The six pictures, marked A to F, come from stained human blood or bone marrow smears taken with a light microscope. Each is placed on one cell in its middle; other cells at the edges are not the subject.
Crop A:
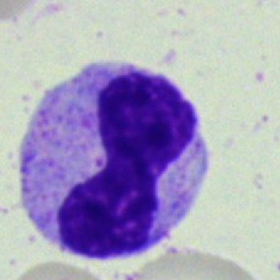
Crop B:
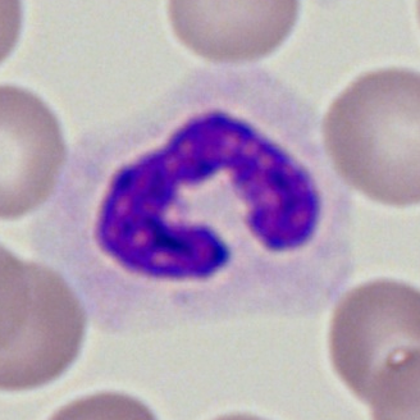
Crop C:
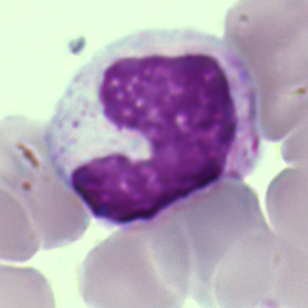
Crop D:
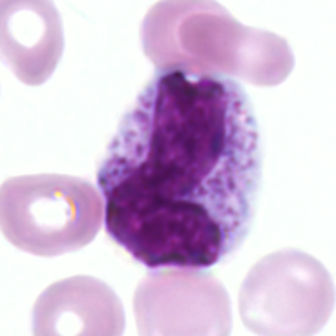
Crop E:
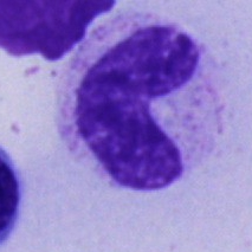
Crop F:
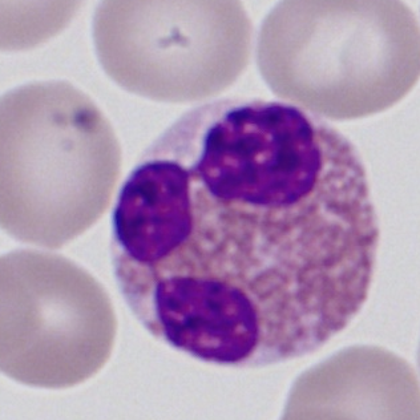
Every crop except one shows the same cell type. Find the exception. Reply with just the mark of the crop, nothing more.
F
